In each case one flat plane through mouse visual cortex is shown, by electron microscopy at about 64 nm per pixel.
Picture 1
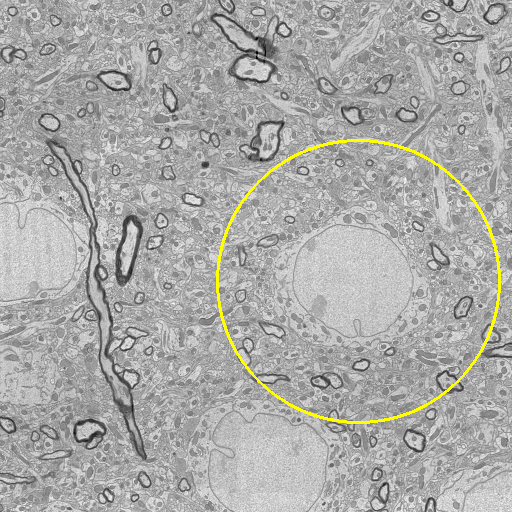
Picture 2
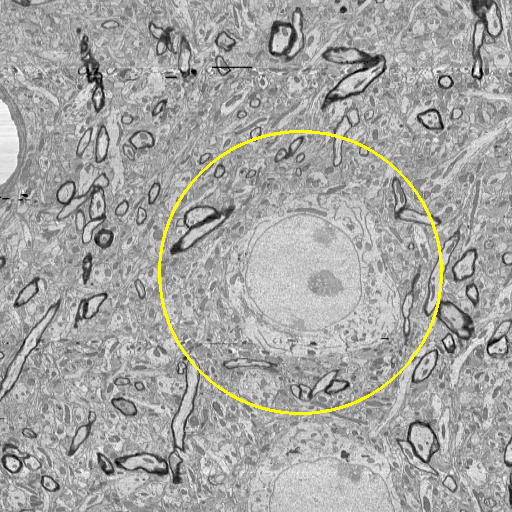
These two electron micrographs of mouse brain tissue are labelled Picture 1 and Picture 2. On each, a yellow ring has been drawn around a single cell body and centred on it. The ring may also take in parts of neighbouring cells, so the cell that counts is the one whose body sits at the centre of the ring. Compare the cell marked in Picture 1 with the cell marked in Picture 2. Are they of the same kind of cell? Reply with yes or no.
yes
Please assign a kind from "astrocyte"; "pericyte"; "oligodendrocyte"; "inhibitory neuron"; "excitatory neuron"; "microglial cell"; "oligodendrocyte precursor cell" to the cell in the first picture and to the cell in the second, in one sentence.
Each cell at the centre of a ring is an excitatory neuron.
